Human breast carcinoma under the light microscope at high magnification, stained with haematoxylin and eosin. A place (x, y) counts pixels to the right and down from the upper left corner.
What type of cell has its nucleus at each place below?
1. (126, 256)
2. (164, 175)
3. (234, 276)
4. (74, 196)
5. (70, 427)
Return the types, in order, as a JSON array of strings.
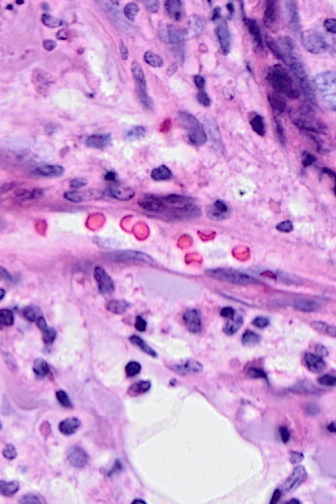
["endothelial cell", "lymphocyte", "endothelial cell", "endothelial cell", "lymphocyte"]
